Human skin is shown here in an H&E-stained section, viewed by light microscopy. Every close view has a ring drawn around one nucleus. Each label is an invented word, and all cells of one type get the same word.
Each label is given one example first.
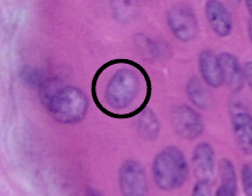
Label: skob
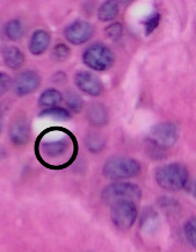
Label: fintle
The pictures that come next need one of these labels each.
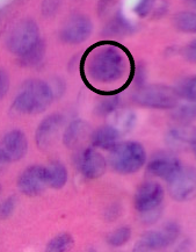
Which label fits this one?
fintle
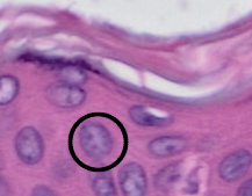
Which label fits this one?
skob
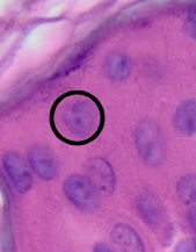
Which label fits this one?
skob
